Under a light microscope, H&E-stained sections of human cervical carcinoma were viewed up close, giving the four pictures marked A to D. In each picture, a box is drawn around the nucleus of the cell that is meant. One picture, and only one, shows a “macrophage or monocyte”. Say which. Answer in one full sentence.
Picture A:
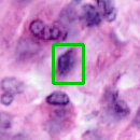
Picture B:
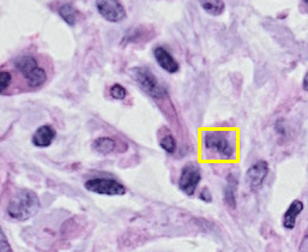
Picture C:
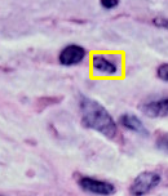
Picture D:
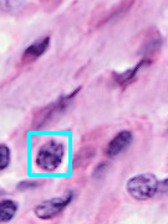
It is picture B that shows the “macrophage or monocyte”.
